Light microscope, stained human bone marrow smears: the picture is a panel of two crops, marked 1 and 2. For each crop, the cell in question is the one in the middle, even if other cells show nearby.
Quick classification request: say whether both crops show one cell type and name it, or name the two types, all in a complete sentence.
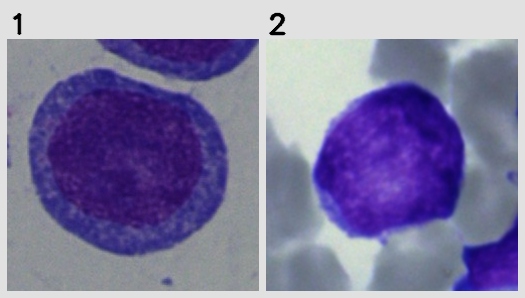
Yes, for both crops, the central cells are blasts.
